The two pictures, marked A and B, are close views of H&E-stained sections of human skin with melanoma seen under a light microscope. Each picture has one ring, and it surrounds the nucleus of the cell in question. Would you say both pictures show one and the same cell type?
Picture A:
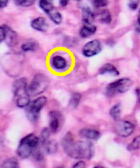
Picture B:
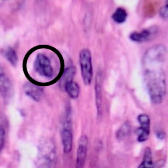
yes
